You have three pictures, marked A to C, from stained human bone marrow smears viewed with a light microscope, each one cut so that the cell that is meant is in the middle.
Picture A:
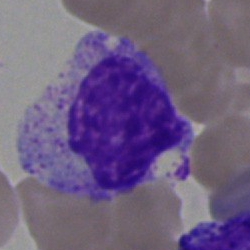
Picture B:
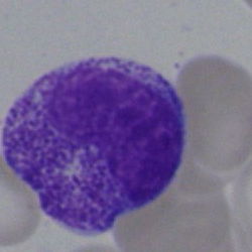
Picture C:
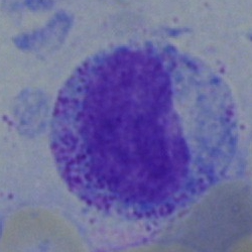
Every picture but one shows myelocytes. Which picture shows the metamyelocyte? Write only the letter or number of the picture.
B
